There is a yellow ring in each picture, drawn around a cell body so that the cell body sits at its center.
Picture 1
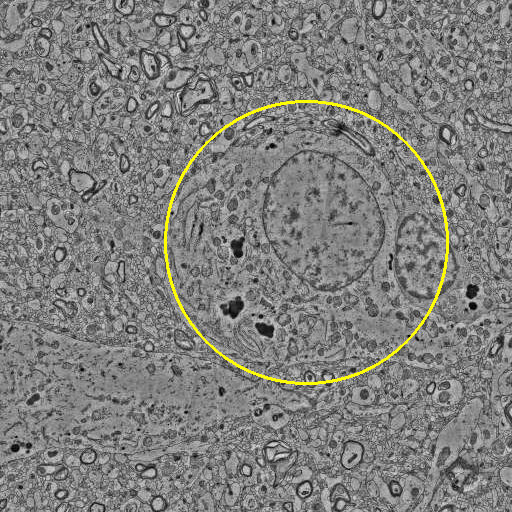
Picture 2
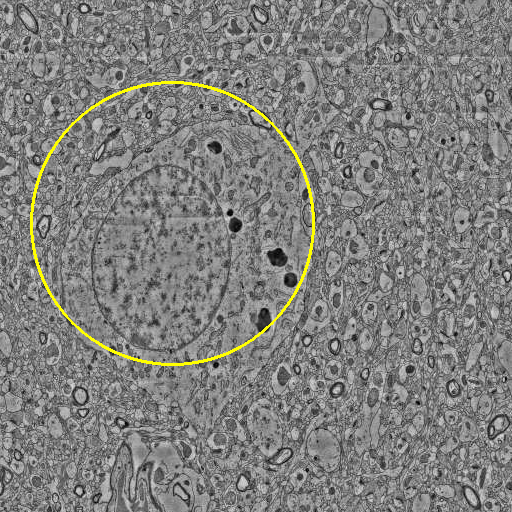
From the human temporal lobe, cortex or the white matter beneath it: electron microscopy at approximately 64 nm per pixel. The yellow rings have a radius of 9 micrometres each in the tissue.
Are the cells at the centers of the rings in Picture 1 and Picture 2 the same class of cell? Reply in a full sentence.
Yes, the two cells are the same class of cell.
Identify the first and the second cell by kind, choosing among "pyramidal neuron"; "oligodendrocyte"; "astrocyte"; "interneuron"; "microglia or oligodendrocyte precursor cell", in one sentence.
In the first picture and in the second, the ring is centred on an interneuron.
